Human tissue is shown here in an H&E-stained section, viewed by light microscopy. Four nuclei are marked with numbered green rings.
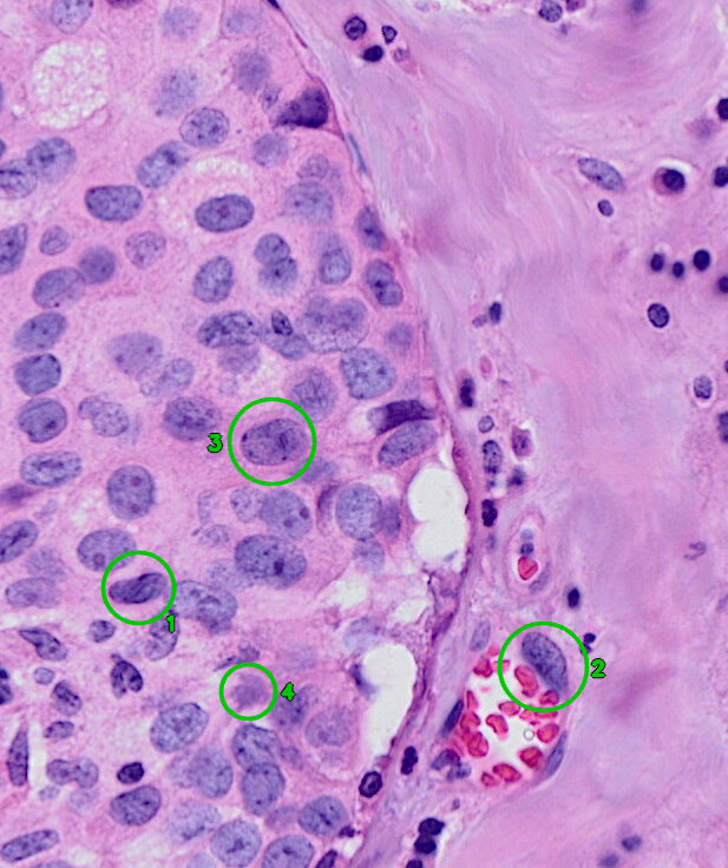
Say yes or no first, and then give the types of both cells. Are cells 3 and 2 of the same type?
No, cell number 3 is a carcinoma cell, and cell number 2 is an endothelial cell.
